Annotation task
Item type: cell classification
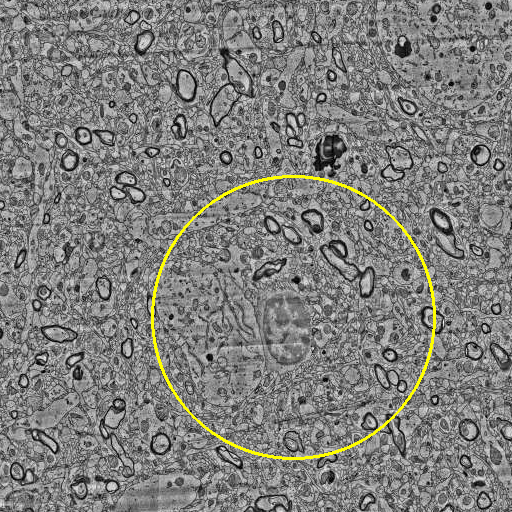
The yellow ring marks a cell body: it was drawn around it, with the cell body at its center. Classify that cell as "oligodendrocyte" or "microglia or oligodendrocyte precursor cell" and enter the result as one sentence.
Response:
The ring's center falls on an oligodendrocyte.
